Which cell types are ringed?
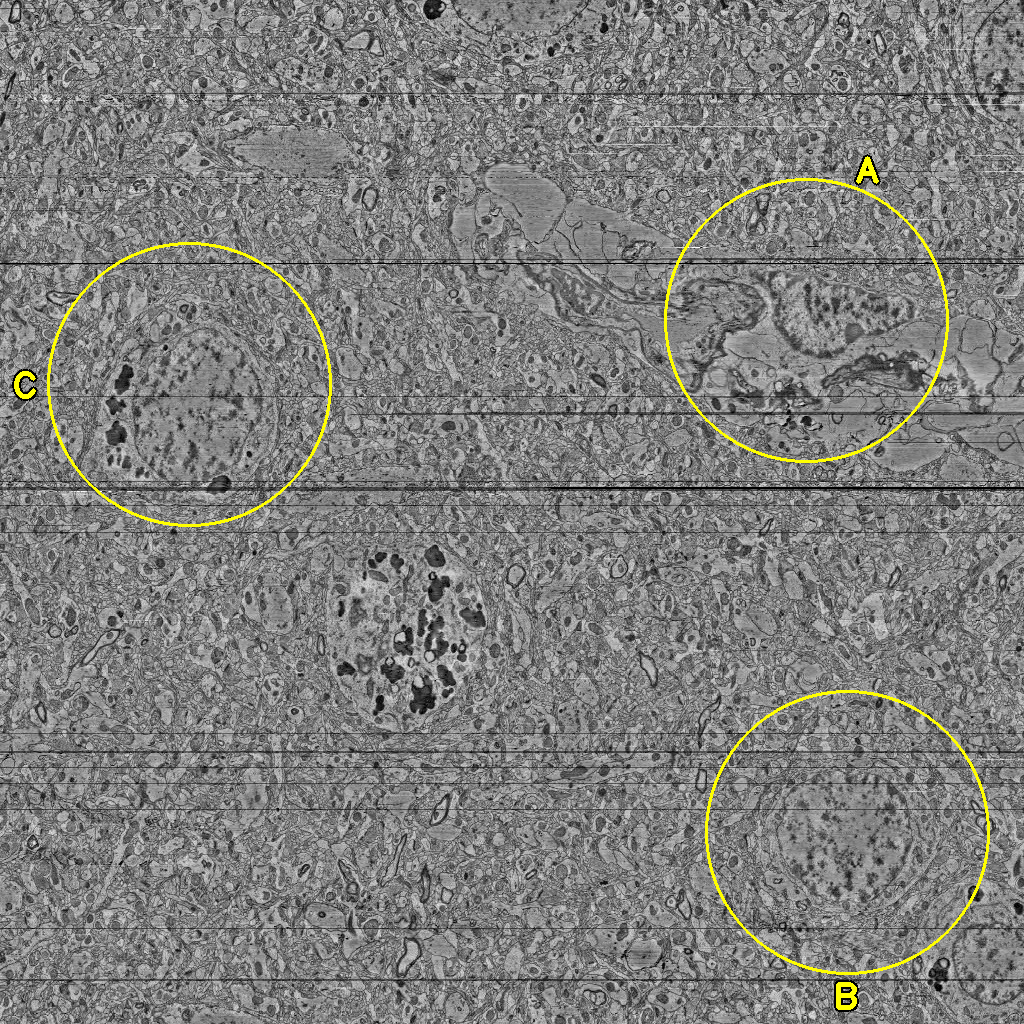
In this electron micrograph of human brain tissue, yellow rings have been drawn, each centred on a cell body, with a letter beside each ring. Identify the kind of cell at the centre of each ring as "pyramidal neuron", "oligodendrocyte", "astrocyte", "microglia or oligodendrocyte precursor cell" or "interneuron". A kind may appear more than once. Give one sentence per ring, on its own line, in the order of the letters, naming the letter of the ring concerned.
Ring A is drawn on a microglial cell or oligodendrocyte precursor cell.
Ring B is drawn on an interneuron.
Ring C is drawn on an interneuron.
